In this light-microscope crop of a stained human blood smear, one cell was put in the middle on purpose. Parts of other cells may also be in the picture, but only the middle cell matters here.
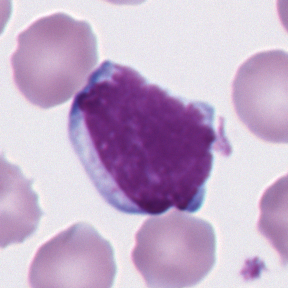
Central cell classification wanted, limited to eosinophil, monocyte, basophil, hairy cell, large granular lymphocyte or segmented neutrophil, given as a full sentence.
At the center of the crop sits a large granular lymphocyte.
